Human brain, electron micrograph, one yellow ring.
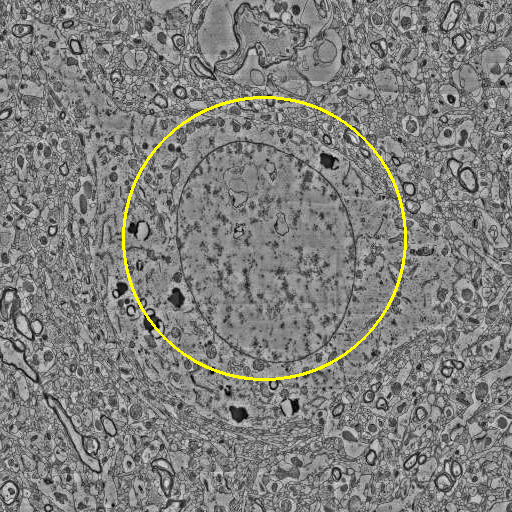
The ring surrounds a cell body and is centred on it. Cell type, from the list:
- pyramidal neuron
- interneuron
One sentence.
The yellow ring circles a pyramidal neuron.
